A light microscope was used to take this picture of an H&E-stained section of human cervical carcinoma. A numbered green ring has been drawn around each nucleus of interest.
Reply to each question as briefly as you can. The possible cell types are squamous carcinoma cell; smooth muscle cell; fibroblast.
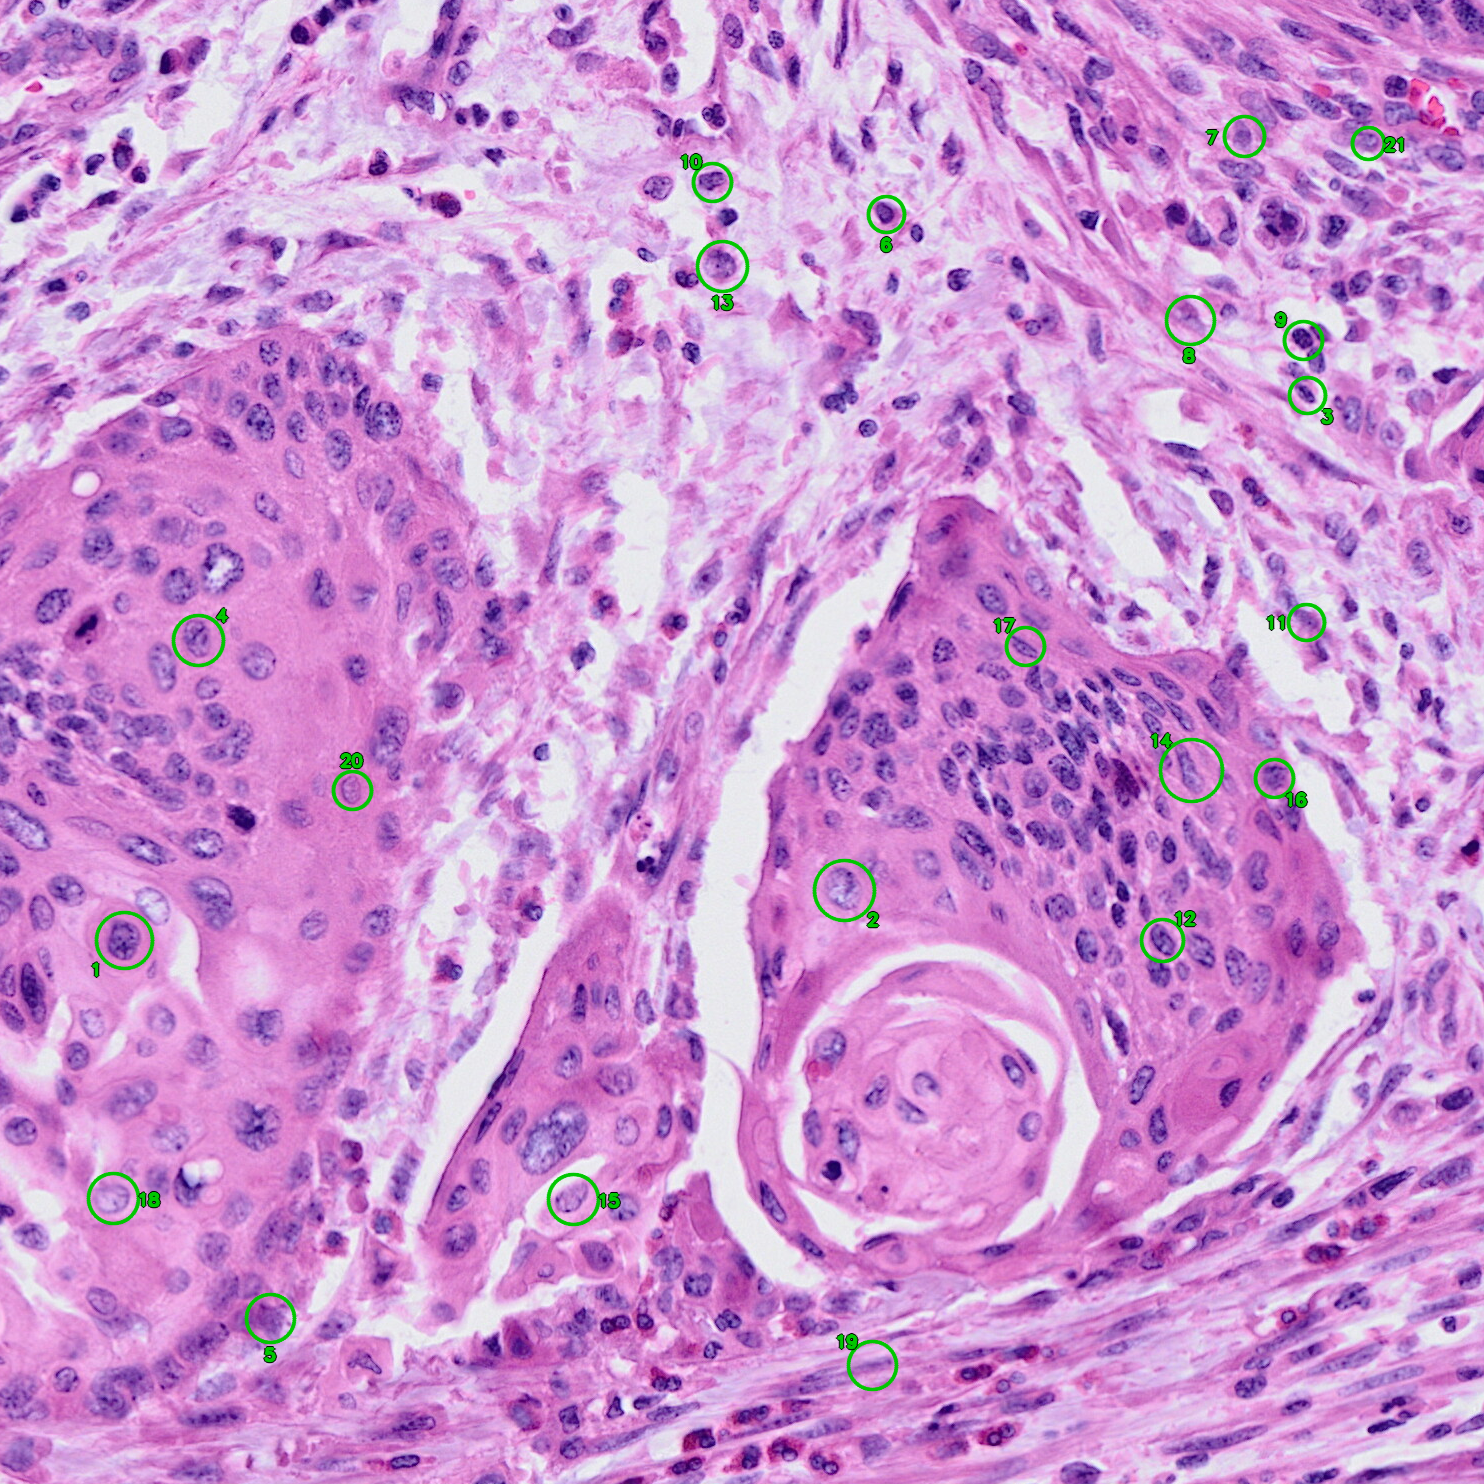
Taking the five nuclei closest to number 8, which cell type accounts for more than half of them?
fibroblast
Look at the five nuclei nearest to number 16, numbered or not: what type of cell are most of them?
squamous carcinoma cell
